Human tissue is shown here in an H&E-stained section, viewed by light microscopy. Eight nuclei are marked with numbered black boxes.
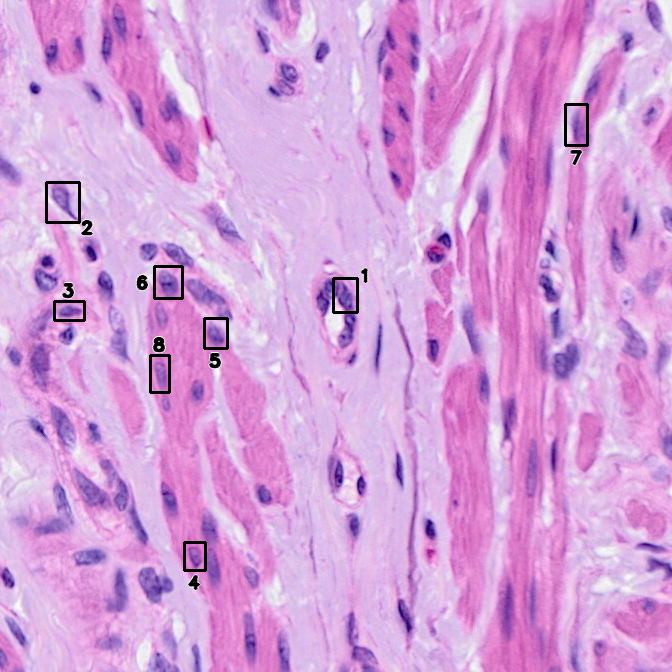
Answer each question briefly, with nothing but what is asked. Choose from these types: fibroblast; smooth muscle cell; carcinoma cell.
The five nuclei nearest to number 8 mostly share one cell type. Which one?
smooth muscle cell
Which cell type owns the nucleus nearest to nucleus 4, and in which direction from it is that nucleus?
a smooth muscle cell below and to the right of nucleus 4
